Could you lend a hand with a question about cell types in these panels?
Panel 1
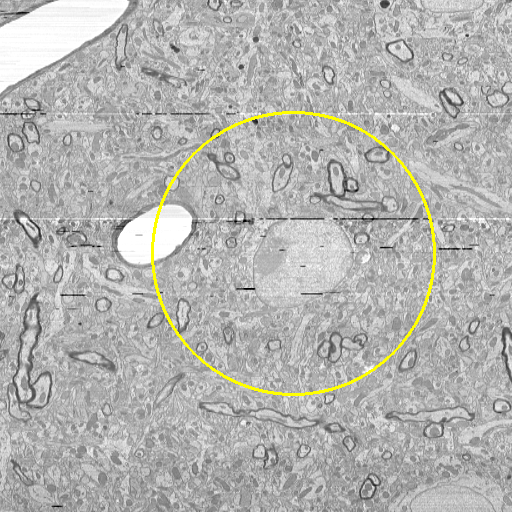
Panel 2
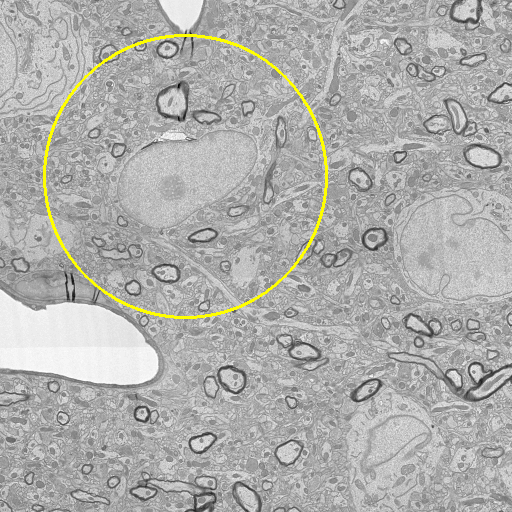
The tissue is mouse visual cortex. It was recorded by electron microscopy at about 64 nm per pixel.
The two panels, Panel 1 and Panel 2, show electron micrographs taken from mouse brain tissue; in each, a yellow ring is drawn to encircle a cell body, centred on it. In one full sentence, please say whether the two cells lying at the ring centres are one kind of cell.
Yes, the cells at the ring centres in the two panels are one kind of cell.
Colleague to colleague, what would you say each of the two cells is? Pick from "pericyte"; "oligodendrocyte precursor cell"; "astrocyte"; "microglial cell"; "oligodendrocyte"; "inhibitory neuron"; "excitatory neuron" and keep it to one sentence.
Both the first and the second picture show an astrocyte in the ring.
